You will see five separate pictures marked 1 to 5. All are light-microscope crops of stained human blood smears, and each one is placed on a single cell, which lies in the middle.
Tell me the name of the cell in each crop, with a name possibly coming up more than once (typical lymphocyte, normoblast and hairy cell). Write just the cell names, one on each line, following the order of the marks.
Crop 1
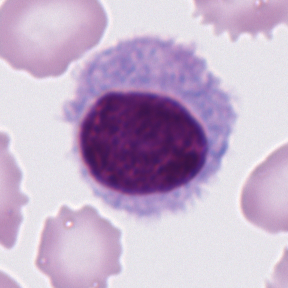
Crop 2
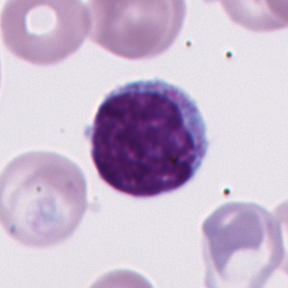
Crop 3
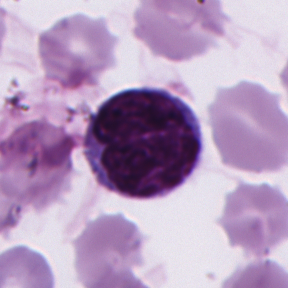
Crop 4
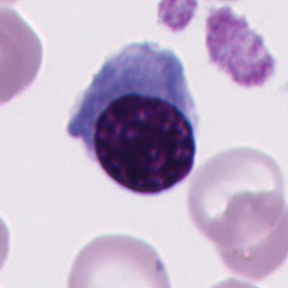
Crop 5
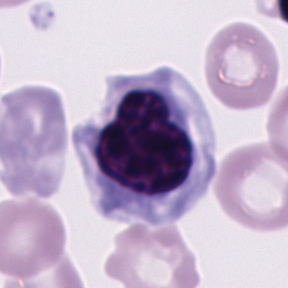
hairy cell
typical lymphocyte
normoblast
normoblast
normoblast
